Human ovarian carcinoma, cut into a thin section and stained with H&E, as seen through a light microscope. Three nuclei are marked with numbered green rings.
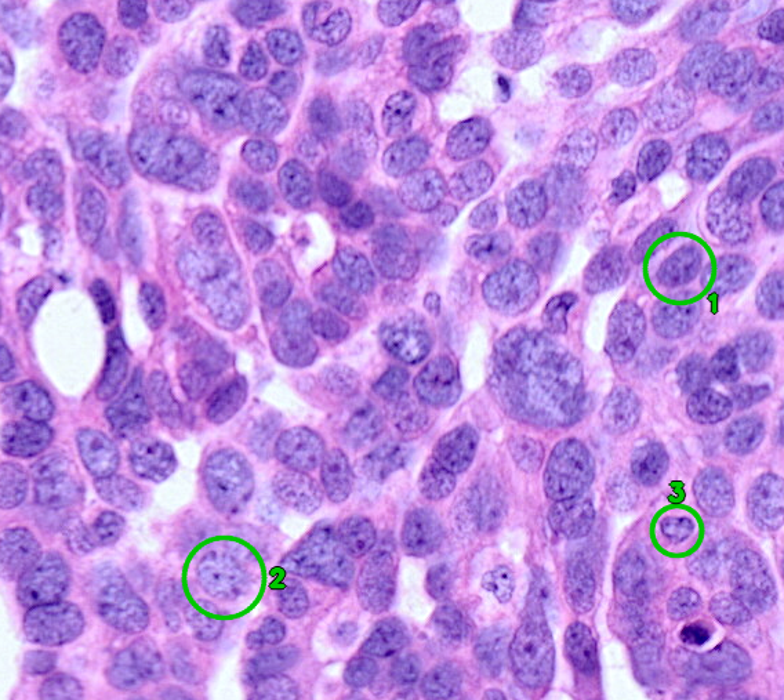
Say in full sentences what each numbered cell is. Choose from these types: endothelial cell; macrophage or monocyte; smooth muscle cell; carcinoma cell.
Cells 1 and 2 are carcinoma cells. Cell 3 is a macrophage or monocyte.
